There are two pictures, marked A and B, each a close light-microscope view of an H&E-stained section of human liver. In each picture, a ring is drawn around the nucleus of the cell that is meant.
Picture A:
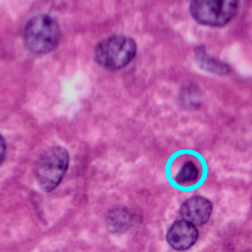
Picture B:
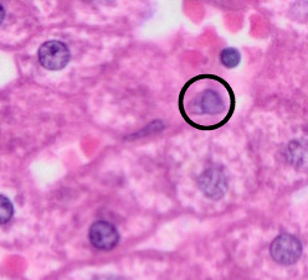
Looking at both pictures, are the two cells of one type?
no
